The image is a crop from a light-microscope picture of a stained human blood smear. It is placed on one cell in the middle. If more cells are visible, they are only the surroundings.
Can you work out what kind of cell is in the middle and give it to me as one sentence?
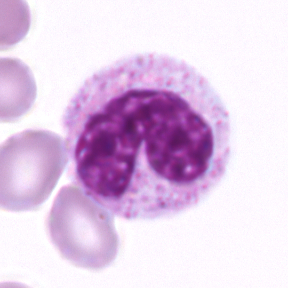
The cell in the middle of this crop is a band neutrophil.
